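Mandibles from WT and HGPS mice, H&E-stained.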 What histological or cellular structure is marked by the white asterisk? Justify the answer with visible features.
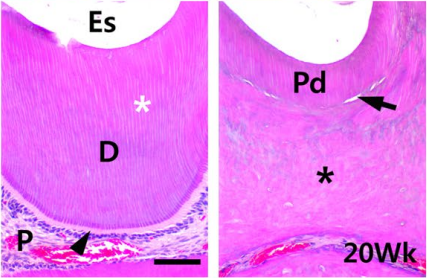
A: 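Continuous dentinal tubules. The white asterisk sits on pink dentin crossed by fine parallel lines. The lines run uninterrupted from the enamel space toward the pulp.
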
